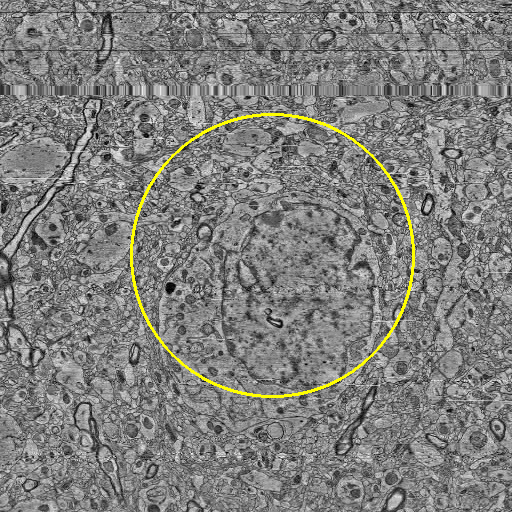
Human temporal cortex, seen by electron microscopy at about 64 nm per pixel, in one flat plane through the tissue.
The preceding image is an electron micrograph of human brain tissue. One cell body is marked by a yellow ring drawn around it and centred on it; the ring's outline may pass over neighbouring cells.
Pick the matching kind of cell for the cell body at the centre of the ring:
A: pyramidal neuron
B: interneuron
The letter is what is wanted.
B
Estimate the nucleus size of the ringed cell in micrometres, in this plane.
About 13 by 10 micrometers, in this plane.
